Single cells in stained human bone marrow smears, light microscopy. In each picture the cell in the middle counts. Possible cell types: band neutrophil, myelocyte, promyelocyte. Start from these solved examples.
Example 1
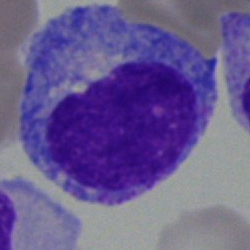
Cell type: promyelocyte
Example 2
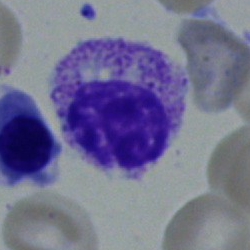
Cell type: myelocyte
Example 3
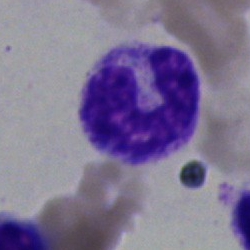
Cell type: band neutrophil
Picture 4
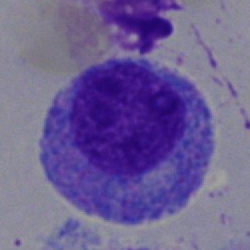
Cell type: promyelocyte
